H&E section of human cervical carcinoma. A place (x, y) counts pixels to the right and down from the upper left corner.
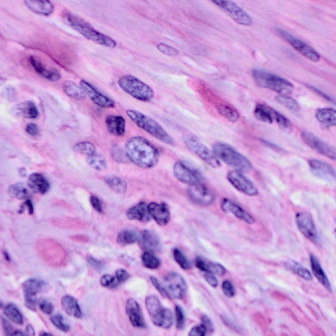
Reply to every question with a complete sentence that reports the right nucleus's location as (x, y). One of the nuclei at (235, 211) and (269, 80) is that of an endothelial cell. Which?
The nucleus at position (235, 211) belongs to an endothelial cell.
